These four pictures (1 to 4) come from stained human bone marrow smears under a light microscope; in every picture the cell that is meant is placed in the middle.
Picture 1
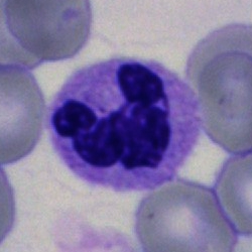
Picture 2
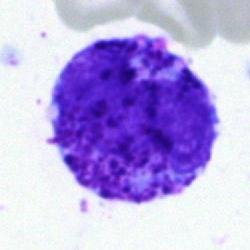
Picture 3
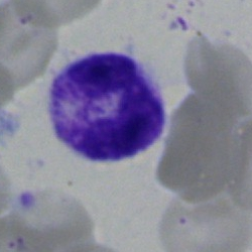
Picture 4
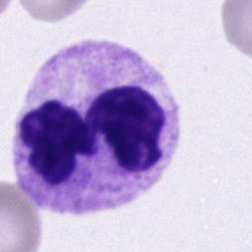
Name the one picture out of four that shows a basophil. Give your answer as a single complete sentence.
Picture 2 is the one that shows the basophil.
